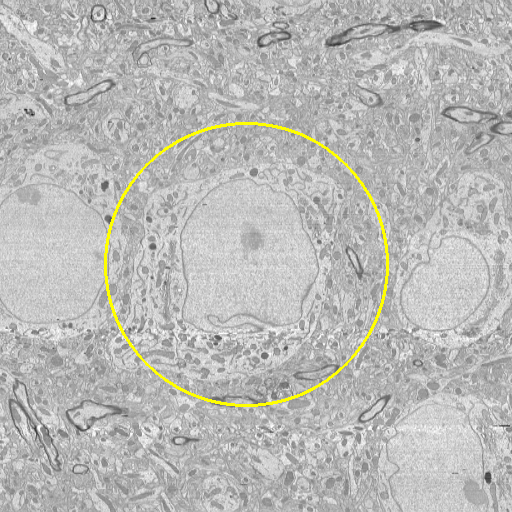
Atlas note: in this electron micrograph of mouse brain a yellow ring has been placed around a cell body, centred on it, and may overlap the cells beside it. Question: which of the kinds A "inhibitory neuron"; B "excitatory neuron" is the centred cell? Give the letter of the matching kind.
A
